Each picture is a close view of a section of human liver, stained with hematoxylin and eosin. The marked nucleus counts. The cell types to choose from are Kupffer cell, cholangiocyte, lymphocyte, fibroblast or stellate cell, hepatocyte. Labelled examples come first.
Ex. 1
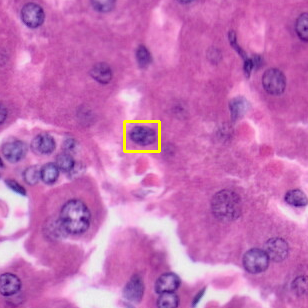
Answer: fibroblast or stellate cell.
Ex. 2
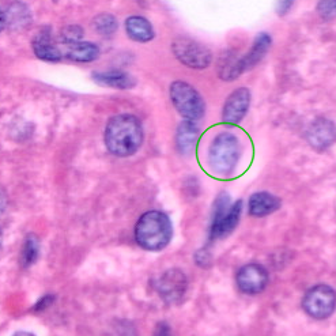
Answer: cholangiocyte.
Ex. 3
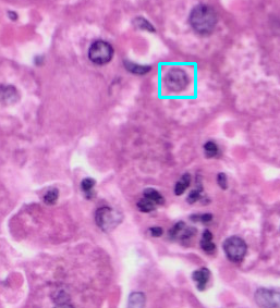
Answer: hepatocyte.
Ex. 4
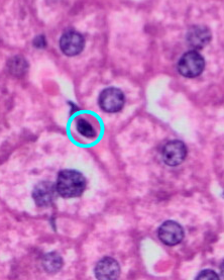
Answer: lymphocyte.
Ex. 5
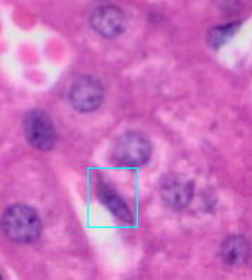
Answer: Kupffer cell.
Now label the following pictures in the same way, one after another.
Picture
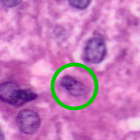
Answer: Kupffer cell.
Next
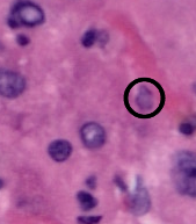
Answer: Kupffer cell.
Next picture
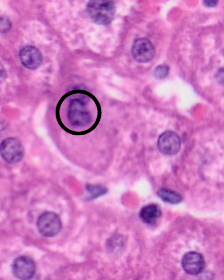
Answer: hepatocyte.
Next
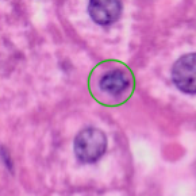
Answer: fibroblast or stellate cell.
